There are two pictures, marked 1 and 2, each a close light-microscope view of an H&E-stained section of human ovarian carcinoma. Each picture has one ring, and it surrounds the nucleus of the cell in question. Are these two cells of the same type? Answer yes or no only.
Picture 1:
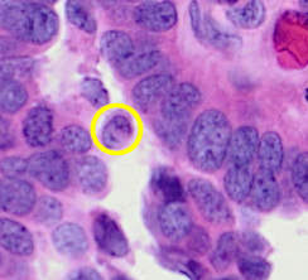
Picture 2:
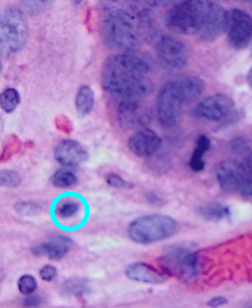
no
